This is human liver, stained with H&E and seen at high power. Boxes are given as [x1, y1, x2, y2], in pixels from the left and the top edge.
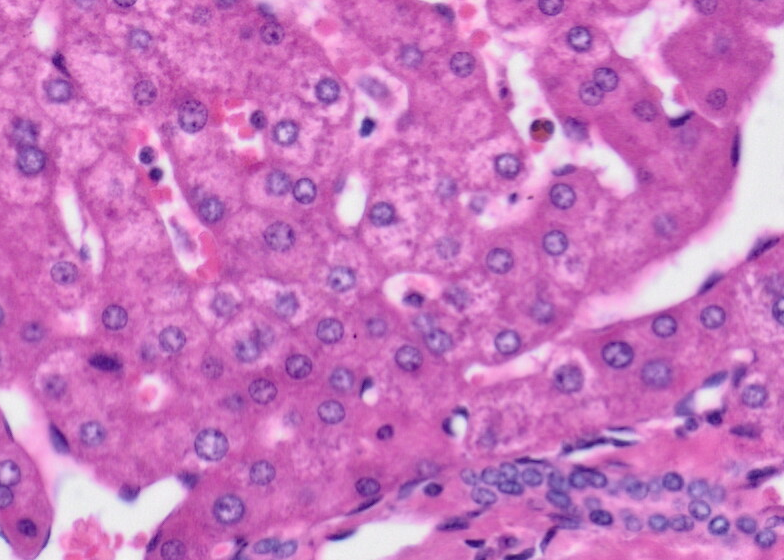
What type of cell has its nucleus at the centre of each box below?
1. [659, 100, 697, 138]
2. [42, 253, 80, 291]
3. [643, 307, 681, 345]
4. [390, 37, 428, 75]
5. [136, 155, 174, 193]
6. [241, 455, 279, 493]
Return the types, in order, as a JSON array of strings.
["fibroblast or stellate cell", "hepatocyte", "hepatocyte", "hepatocyte", "lymphocyte", "hepatocyte"]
